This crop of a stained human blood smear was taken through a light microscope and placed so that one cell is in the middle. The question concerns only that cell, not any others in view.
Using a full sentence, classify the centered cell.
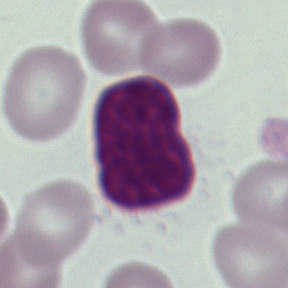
The center cell of this crop is a smudge cell.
